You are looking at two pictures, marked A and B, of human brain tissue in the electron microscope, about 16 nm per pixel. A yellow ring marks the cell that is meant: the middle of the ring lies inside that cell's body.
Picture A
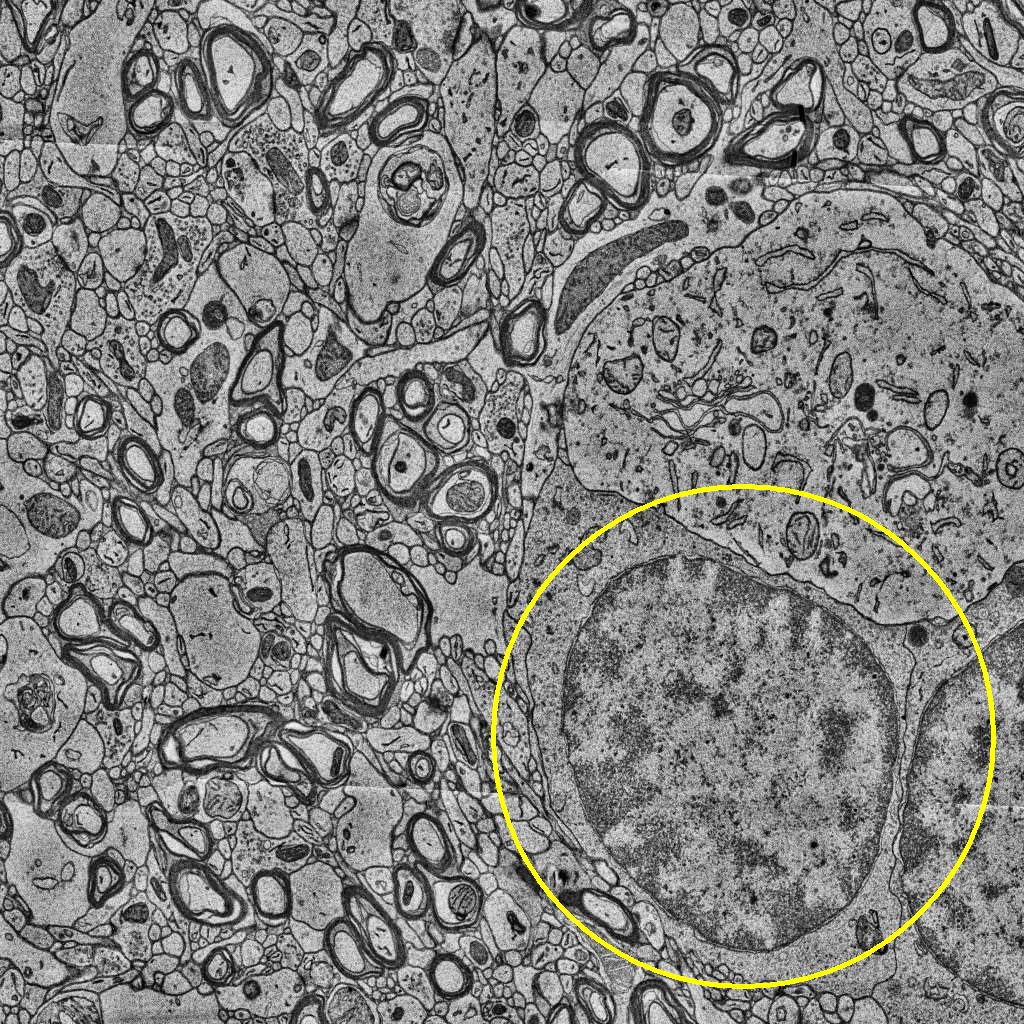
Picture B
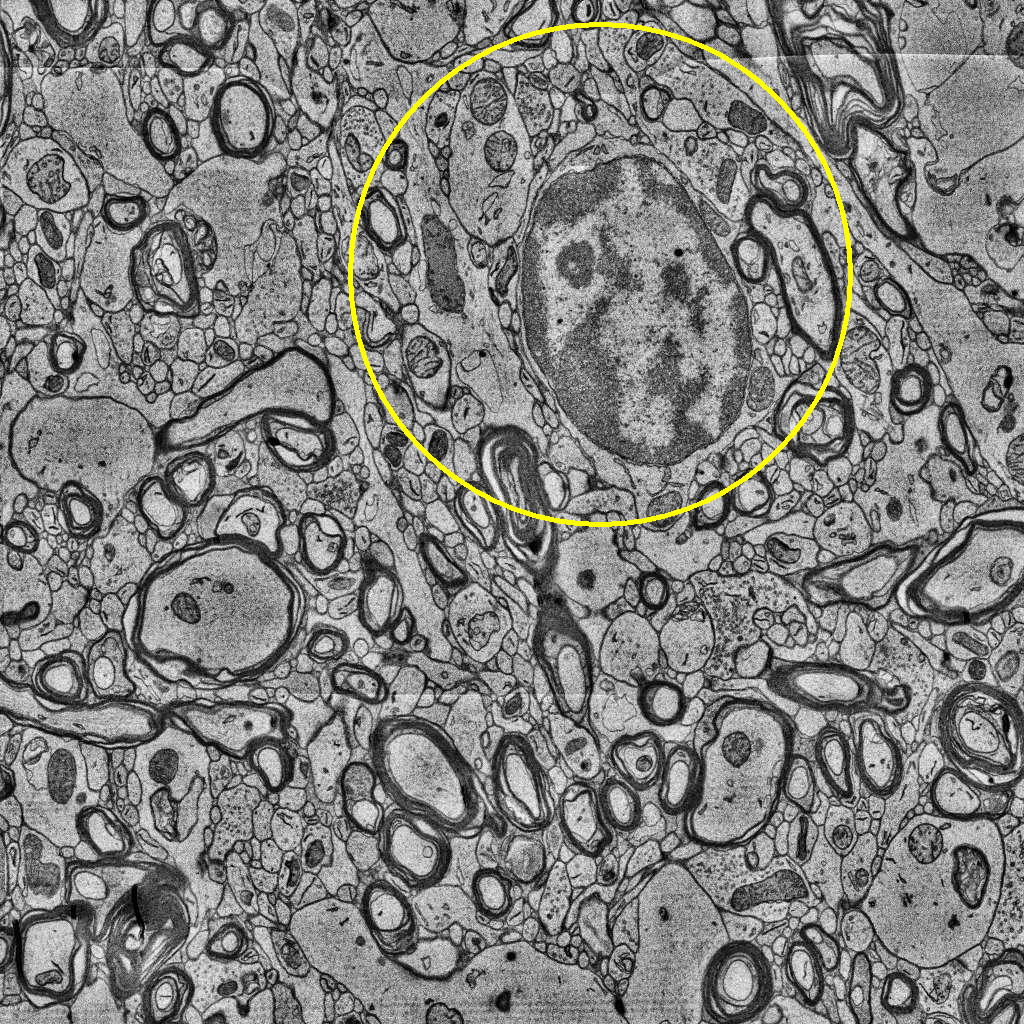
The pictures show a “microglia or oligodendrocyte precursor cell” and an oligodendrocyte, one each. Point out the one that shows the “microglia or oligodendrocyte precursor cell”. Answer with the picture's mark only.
B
